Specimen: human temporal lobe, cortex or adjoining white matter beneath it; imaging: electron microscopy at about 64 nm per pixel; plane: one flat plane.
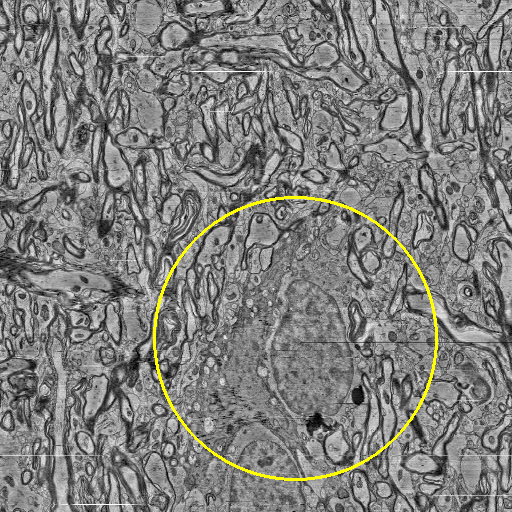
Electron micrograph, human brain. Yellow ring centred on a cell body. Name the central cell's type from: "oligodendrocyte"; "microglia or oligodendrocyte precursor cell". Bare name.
oligodendrocyte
